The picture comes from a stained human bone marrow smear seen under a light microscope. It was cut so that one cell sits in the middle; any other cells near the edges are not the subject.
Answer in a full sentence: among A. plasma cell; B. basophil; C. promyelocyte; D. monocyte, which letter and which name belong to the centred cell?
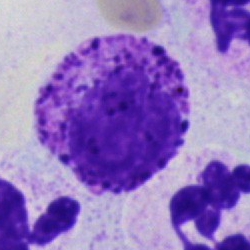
It is a basophil that occupies the centre of the crop, so option B is correct.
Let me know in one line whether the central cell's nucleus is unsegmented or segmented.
Please observe that the nucleus consists of one compact round, oval or kidney-shaped mass.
